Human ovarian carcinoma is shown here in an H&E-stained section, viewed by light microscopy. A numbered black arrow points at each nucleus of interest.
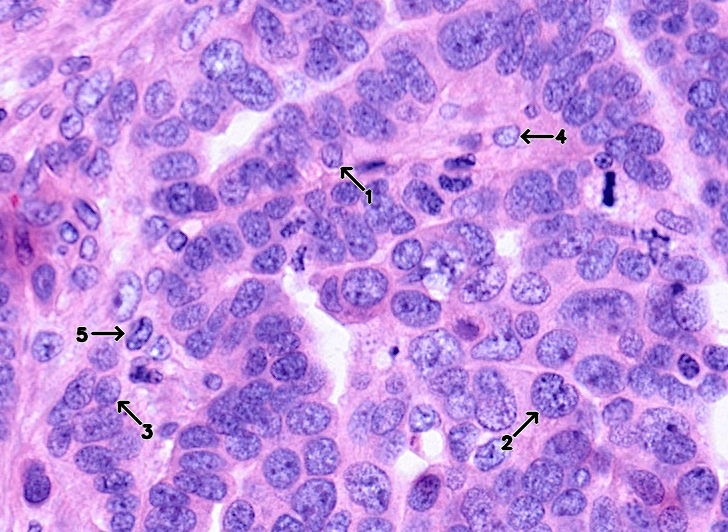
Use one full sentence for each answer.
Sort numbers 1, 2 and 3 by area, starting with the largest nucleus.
Going from the biggest nucleus down to the smallest gives 2, 3, 1.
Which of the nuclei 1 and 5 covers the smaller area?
It is nucleus 1; nucleus 5 has about 2 times its area.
